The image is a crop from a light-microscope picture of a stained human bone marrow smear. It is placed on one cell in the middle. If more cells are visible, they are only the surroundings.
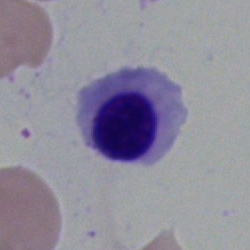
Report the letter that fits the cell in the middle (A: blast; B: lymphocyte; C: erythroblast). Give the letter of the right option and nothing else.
C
